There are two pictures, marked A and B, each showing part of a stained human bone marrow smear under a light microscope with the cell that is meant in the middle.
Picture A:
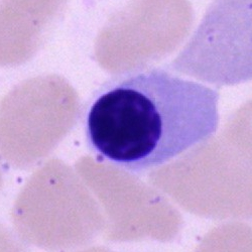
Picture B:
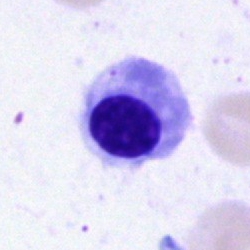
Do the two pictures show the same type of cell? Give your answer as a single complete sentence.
Yes; the cells in both pictures are erythroblasts.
